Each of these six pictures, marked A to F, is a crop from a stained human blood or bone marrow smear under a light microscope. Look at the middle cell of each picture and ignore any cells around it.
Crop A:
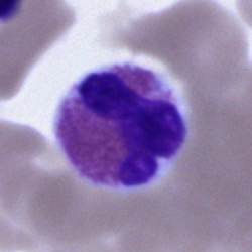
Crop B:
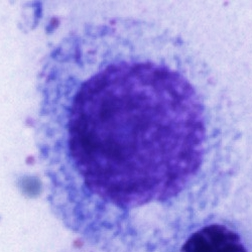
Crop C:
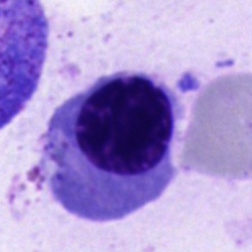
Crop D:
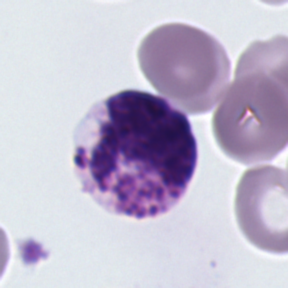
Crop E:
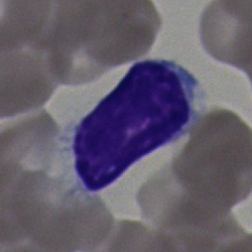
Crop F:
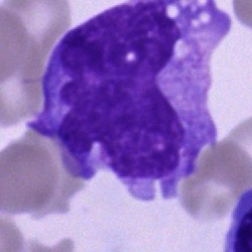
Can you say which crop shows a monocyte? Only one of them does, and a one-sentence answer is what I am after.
Among these crops, crop F holds a monocyte.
